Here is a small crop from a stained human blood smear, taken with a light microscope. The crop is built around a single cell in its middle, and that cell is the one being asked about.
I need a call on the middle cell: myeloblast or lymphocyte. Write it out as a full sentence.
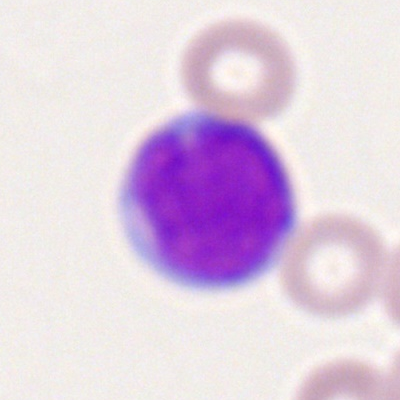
The cell positioned in the middle of the field is a myeloblast.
